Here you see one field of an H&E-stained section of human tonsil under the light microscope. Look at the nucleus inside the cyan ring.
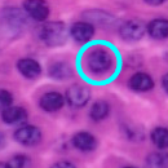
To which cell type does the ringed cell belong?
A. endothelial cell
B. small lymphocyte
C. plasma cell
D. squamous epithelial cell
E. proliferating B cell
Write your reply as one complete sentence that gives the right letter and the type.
Settle on option C; the ringed cell is a plasma cell.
